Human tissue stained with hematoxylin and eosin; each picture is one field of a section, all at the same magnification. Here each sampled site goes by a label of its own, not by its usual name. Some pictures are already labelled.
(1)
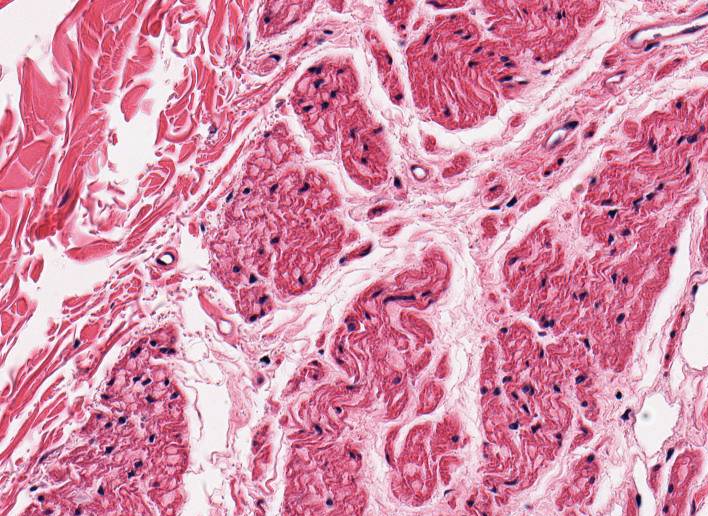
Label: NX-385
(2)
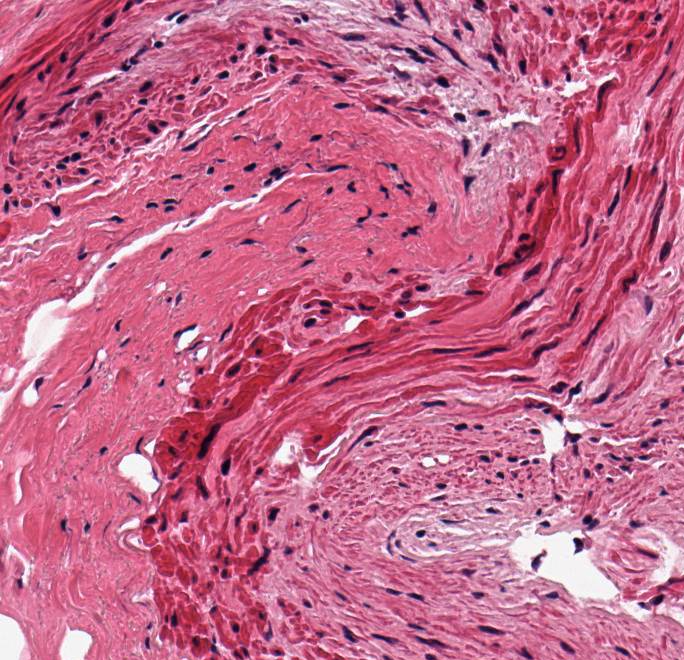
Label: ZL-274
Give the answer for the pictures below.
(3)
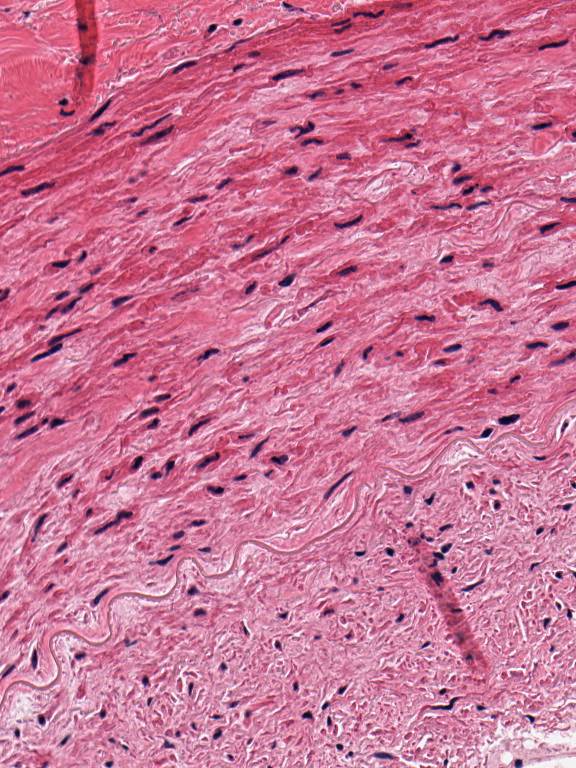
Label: ZL-274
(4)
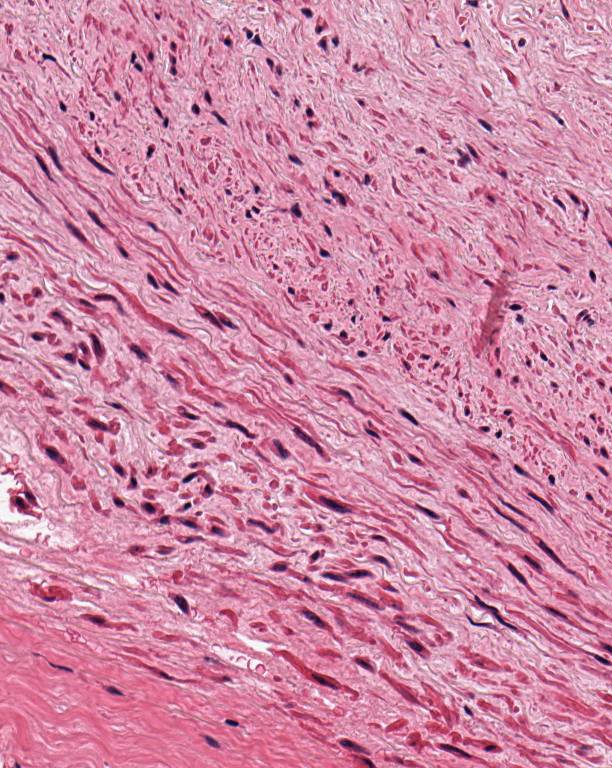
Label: ZL-274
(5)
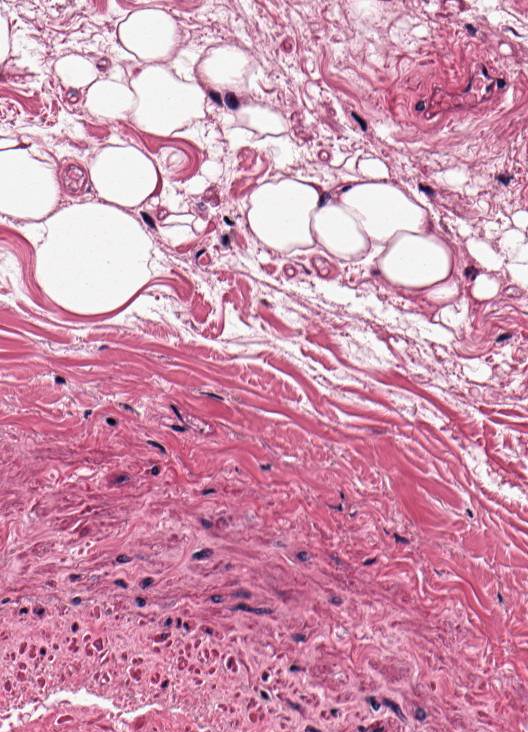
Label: ZL-274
